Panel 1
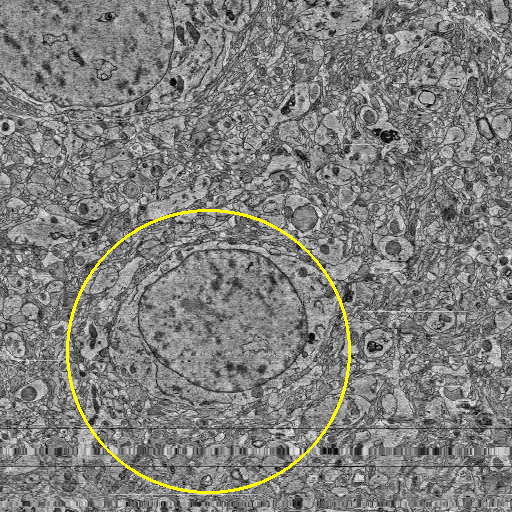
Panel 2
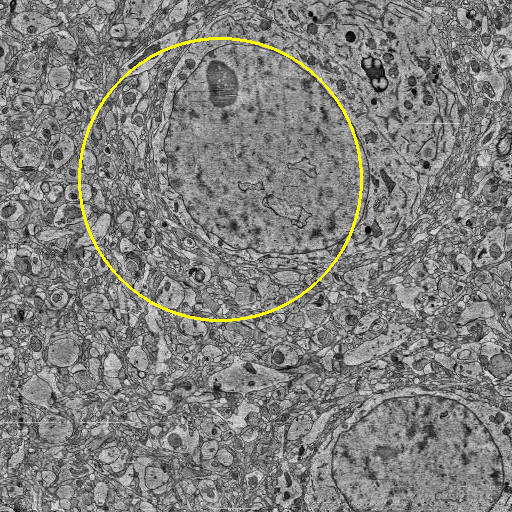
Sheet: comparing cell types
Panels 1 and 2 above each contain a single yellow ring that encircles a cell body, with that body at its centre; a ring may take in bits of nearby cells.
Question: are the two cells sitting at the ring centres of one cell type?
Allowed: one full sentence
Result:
Yes, the ring-centre cells in Panel 1 and Panel 2 are of one type.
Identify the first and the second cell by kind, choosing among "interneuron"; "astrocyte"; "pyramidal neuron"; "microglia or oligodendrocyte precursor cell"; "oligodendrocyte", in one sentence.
The ring centre holds a pyramidal neuron in each of the two pictures.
